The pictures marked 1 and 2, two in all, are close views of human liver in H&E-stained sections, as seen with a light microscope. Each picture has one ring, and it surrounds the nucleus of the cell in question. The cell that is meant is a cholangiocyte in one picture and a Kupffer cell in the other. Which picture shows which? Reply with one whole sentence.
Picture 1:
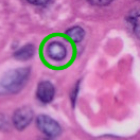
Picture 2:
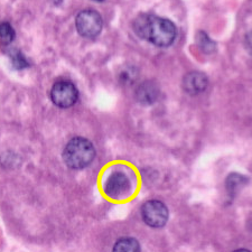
Picture 1 is of a cholangiocyte, and picture 2 is of a Kupffer cell.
